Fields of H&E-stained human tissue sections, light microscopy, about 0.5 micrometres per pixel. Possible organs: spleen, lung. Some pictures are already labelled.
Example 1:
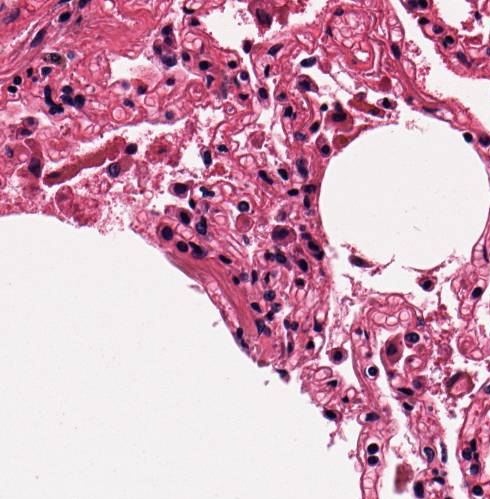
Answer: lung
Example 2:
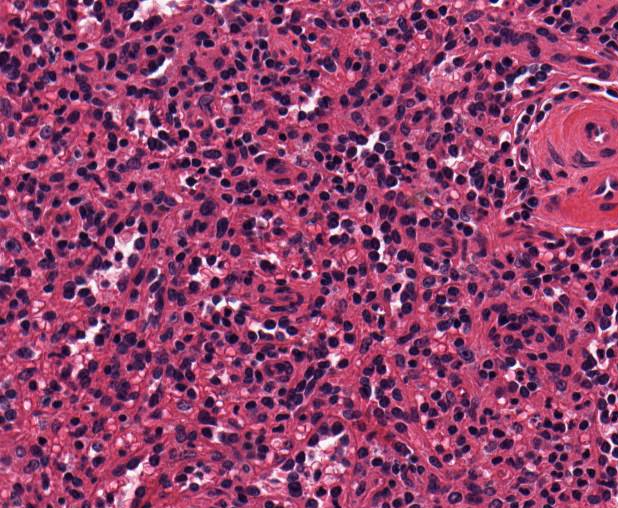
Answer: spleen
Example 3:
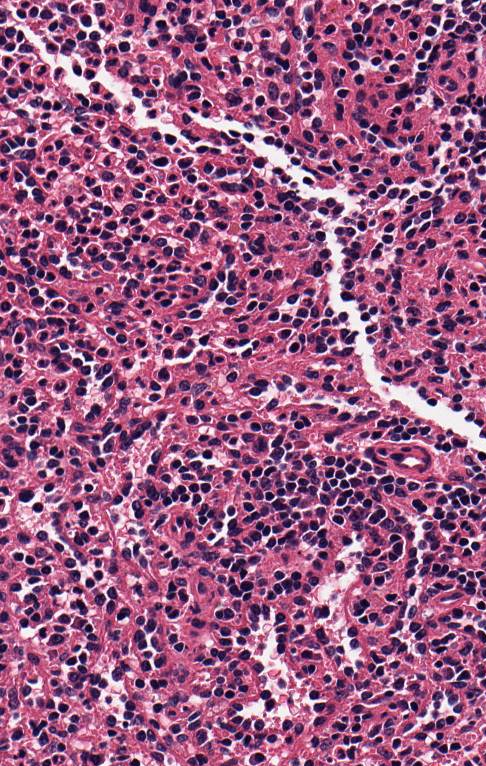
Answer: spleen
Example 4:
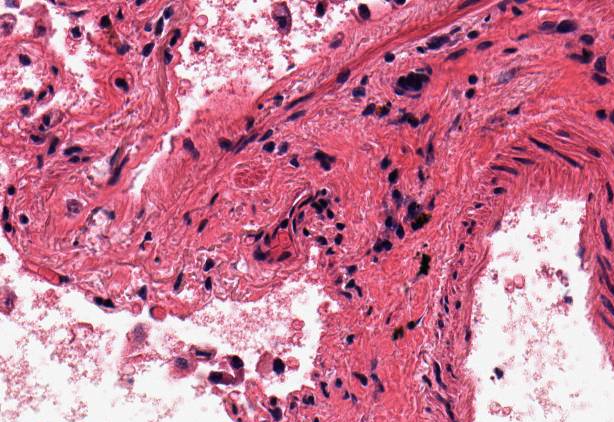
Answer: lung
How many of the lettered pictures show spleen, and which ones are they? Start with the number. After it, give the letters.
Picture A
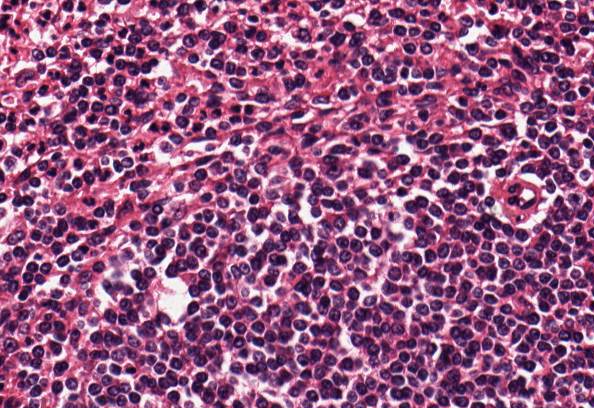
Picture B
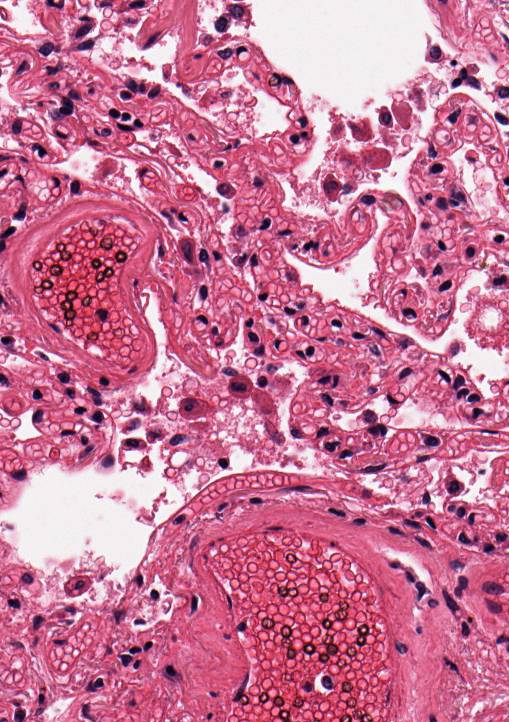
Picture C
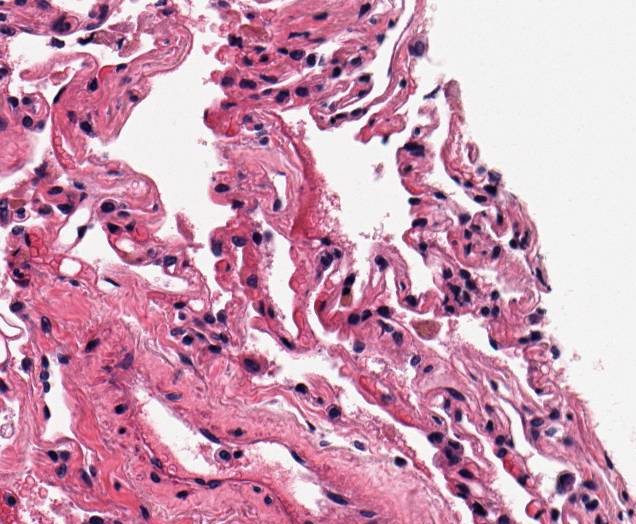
1, namely A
